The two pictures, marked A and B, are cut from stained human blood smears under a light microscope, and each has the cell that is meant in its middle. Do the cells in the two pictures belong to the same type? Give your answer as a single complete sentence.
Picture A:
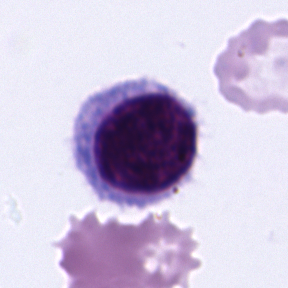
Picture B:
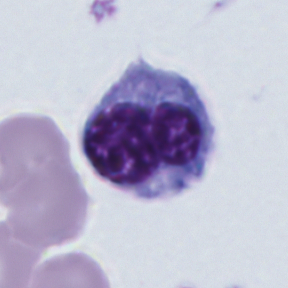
No; the cell in picture A is a hairy cell, while the one in picture B is a plasma cell.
